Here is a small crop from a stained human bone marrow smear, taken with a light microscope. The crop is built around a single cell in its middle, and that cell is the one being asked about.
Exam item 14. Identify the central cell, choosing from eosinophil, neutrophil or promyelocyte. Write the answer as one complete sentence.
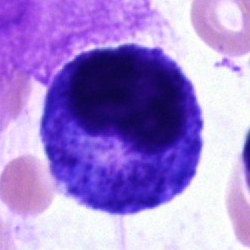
The cell shown in the center of this light-microscope crop is a promyelocyte.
